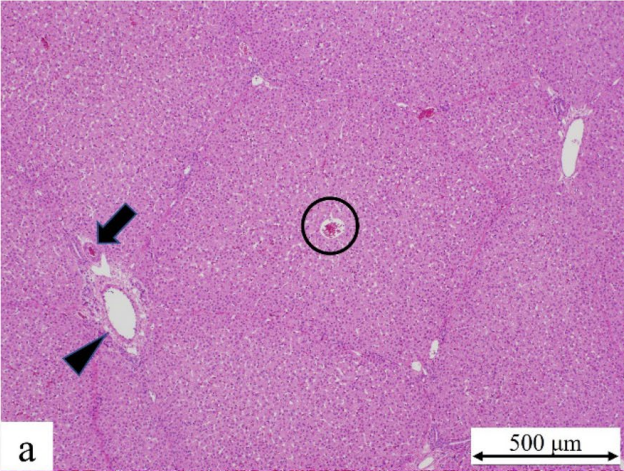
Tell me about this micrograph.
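This is liver parenchyma made of pink hepatocytes arranged in cords with narrow sinusoids between them, the lobular structure intact. At left a small portal tract holds a large thin-walled vein with a wide empty lumen and, beside it, a small thick-walled artery in a little connective tissue. Toward the middle of the field a small central vein containing red blood cells lies within the parenchyma without any connective tissue around it. Other small vessels are scattered across the field.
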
